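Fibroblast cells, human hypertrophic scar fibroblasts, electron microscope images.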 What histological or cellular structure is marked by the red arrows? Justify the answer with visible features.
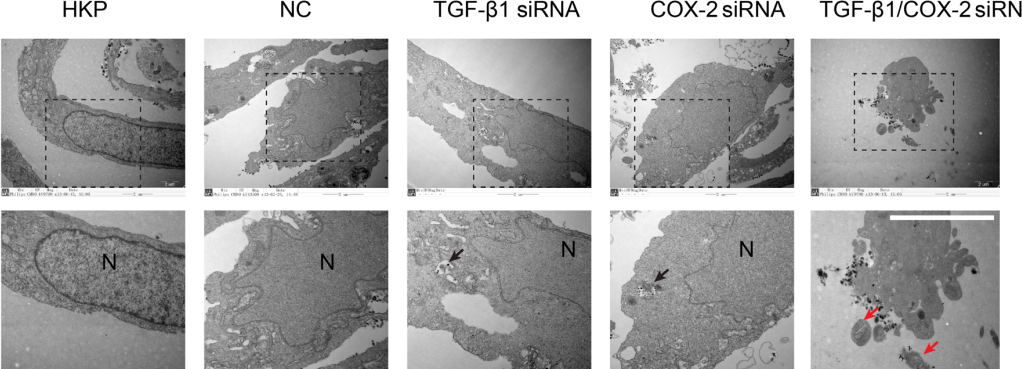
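The cell they lie beside has an irregular, blebbed outline.
Answer: apoptosis bodies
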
